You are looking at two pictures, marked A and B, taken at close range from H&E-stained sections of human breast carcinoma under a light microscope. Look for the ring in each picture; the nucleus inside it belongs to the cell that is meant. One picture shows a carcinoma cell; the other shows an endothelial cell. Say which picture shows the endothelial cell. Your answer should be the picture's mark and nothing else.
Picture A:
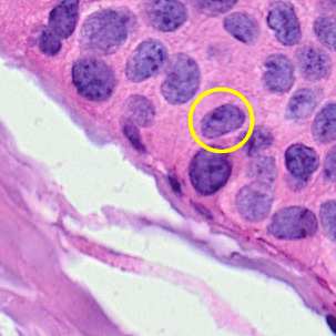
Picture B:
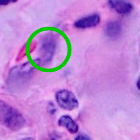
B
